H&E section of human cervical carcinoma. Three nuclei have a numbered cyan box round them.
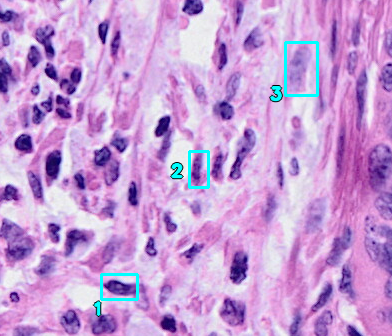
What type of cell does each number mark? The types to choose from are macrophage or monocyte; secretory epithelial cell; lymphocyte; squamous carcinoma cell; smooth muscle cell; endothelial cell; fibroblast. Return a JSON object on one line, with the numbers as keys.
{"1": "lymphocyte", "2": "fibroblast", "3": "fibroblast"}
